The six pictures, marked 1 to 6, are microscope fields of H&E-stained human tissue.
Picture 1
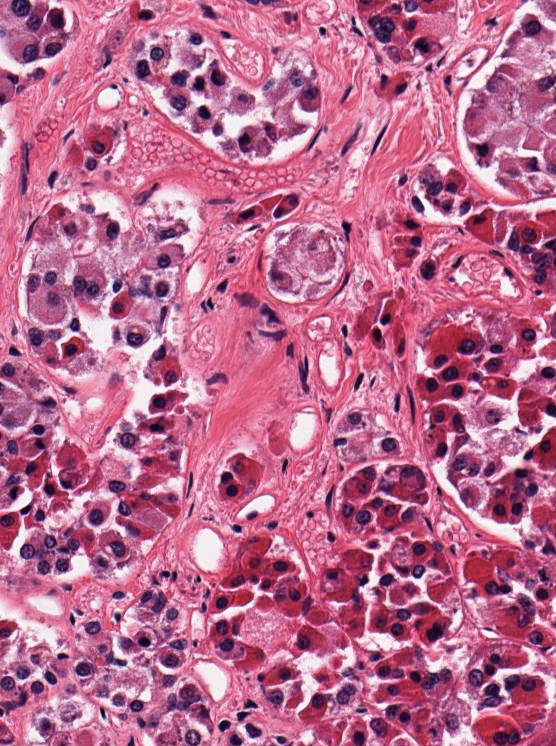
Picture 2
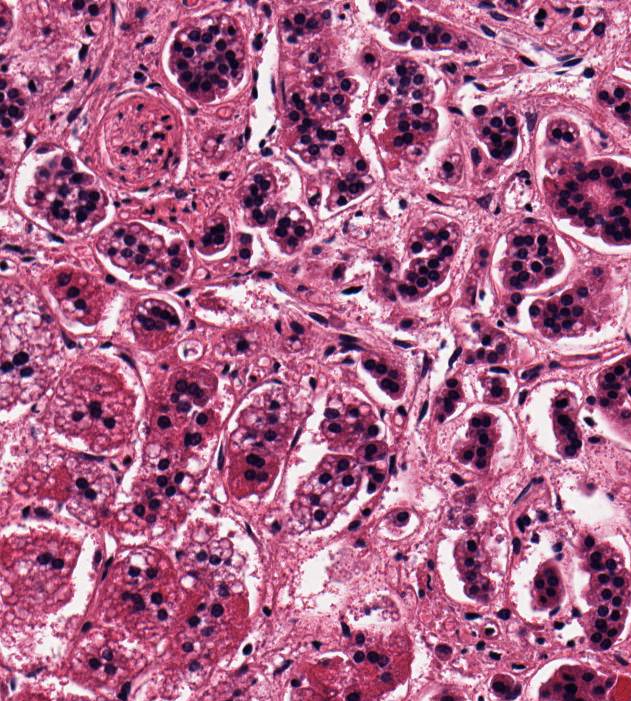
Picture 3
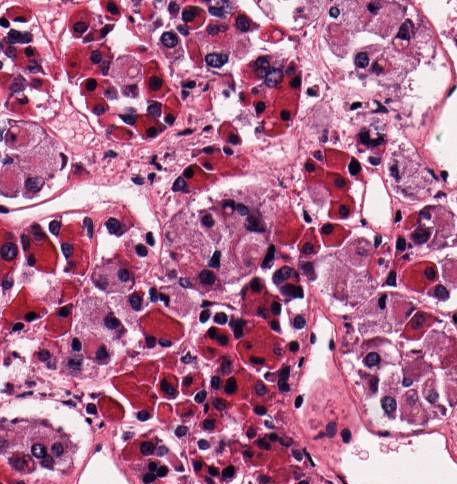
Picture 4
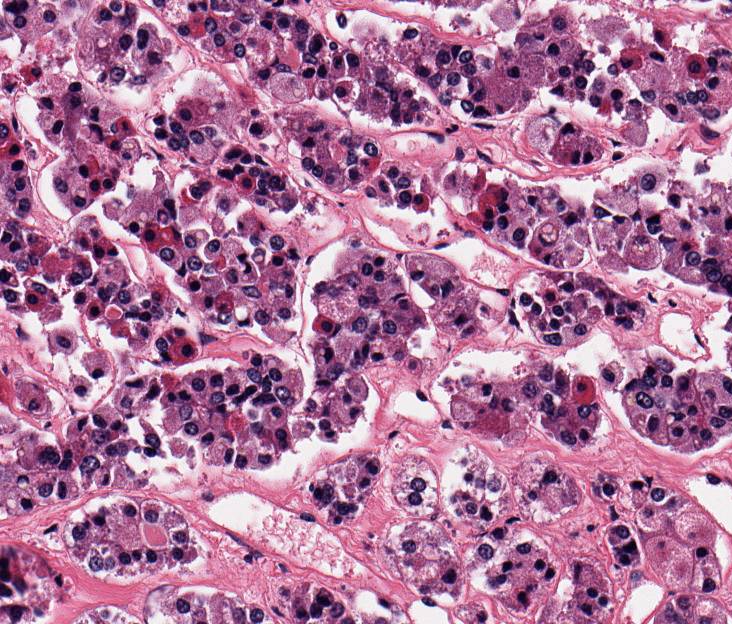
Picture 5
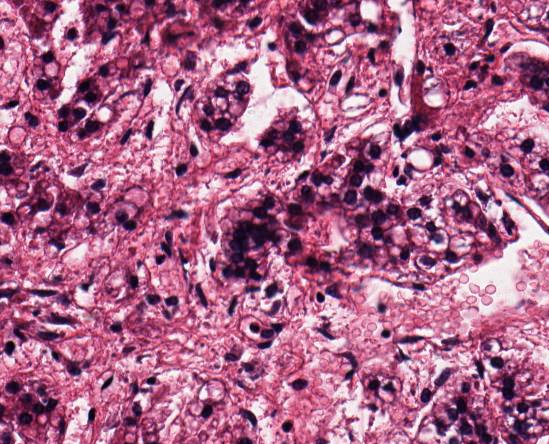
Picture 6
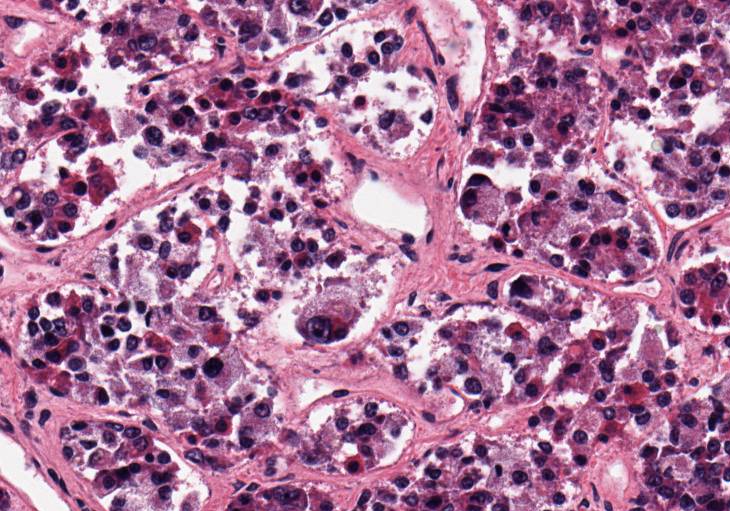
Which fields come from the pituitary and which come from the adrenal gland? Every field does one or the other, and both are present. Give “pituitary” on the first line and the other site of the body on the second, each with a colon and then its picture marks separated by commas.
pituitary: 1, 3, 4, 6
adrenal gland: 2, 5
